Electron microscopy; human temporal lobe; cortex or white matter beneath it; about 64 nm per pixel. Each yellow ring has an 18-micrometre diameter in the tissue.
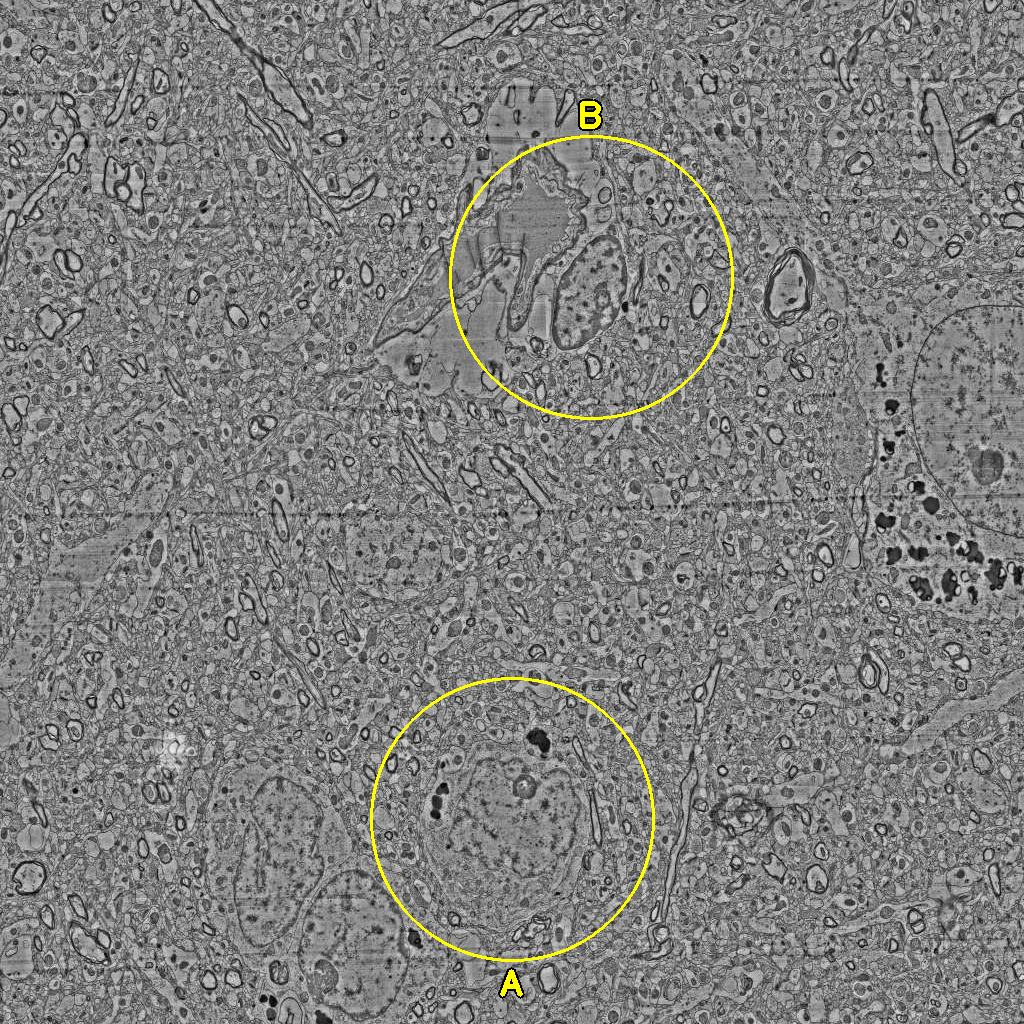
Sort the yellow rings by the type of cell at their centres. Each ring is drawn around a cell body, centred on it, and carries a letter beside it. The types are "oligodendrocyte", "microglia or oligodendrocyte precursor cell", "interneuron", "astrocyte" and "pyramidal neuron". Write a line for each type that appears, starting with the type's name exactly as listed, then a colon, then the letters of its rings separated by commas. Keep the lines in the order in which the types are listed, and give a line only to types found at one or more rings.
microglia or oligodendrocyte precursor cell: B
interneuron: A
